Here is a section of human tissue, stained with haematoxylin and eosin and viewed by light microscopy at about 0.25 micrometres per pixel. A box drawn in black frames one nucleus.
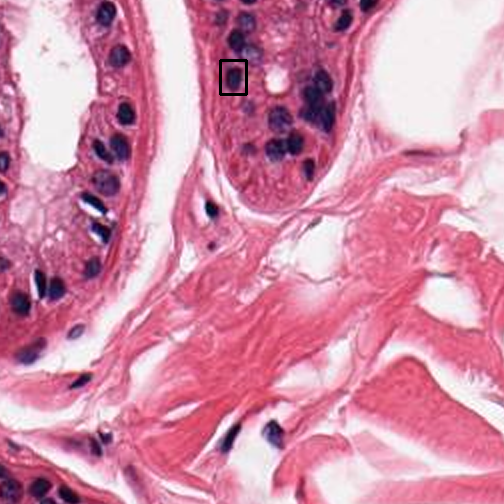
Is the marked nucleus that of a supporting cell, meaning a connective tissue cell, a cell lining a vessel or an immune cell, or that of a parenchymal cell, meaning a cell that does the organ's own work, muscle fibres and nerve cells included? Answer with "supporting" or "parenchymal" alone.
parenchymal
